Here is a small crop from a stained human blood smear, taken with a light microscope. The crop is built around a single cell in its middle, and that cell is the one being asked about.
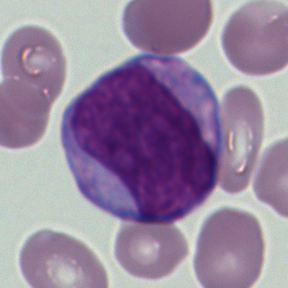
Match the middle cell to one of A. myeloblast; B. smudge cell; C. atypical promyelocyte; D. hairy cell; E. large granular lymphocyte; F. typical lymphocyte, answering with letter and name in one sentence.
The cell positioned centrally is an atypical promyelocyte, as given in option C, which is correct.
